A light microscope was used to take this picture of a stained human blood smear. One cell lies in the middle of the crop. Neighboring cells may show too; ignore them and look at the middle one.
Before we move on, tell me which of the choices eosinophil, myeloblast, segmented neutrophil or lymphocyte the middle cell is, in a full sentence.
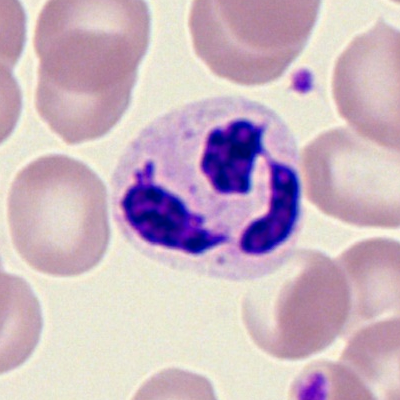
The cell at the heart of this crop is a segmented neutrophil.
